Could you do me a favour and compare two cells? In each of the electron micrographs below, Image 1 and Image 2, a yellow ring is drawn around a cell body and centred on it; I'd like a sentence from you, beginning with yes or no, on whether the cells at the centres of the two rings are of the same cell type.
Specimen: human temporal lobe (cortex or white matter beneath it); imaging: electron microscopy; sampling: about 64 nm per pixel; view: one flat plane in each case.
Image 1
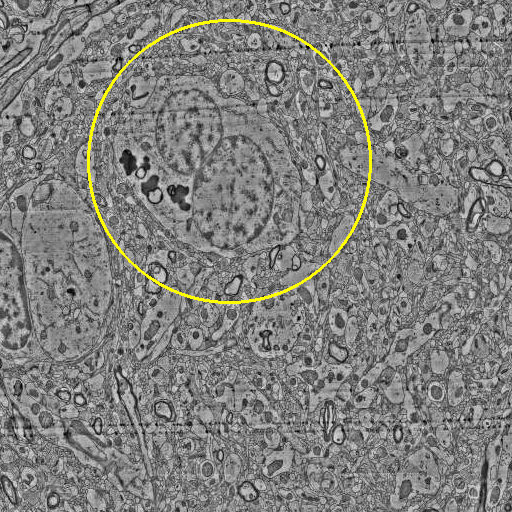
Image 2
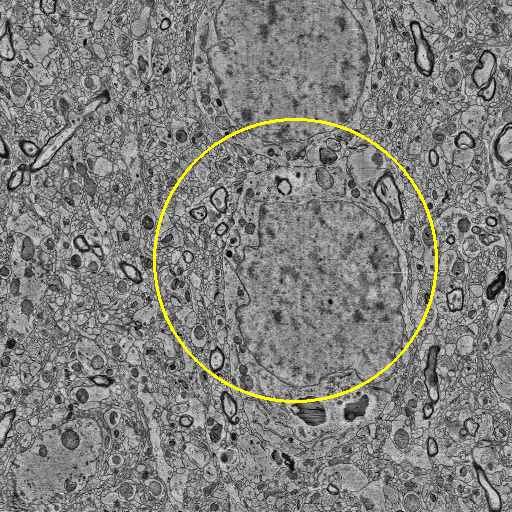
Yes, the two cells are of the same cell type.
